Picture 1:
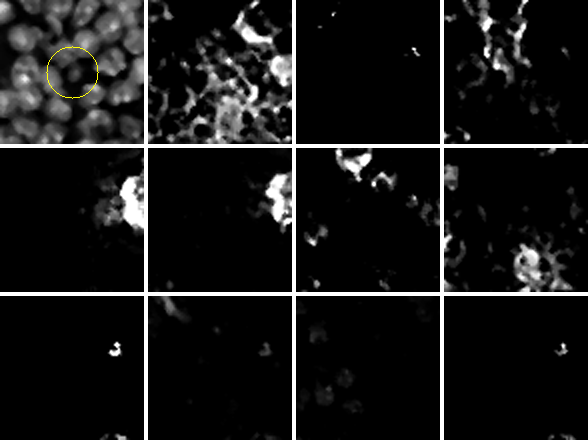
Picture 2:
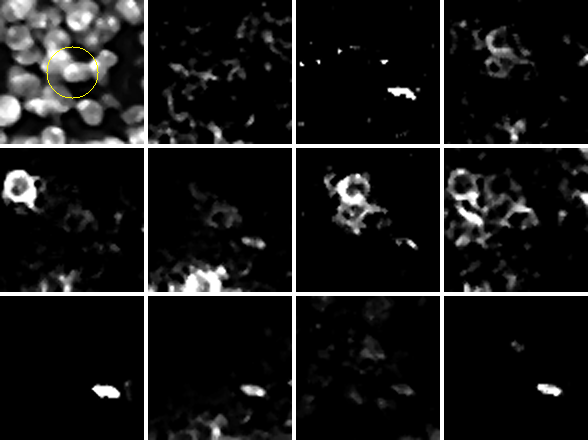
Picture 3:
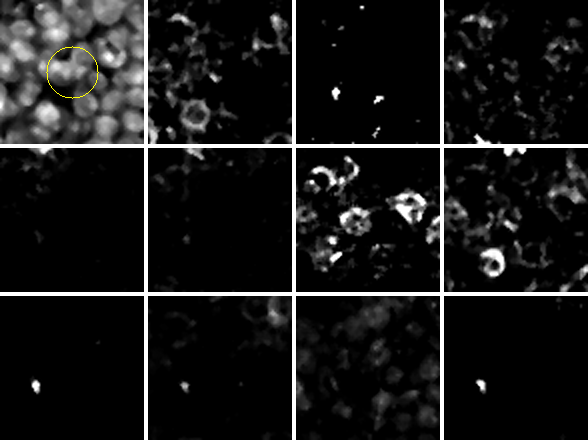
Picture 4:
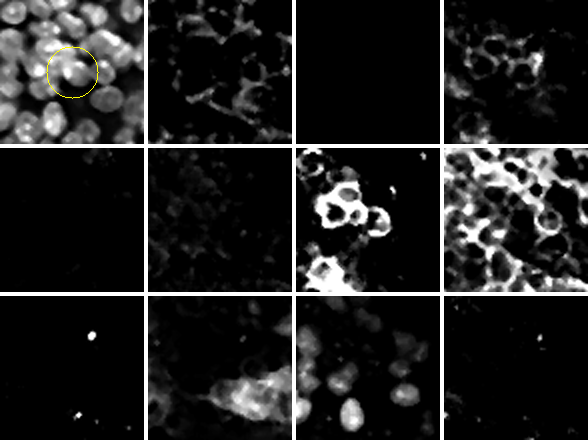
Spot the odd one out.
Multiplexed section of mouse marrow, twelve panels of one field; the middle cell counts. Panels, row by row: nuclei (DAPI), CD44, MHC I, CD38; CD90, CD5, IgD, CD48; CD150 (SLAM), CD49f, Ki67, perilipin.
Picture 1 (a neutrophil among B cells).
